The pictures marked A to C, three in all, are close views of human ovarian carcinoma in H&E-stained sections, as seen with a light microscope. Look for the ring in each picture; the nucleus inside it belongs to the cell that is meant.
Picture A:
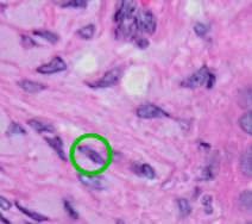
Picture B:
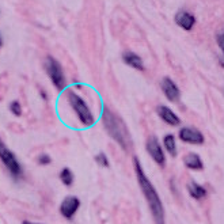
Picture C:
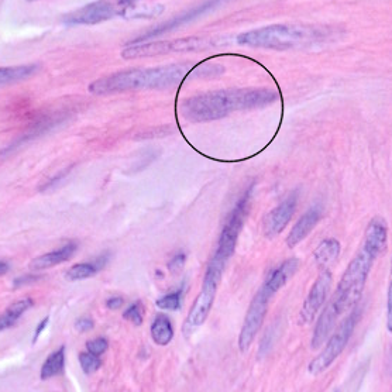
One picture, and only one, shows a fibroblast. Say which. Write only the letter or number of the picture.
A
